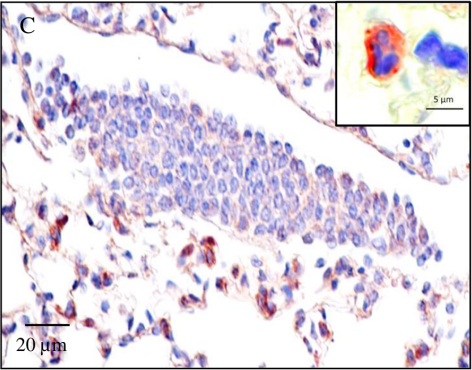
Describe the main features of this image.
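Lung parenchyma with an elongated, compact cluster of closely packed cells bearing round to oval blue nuclei, free of brown stain. Thin alveolar walls around the cluster hold scattered cells with brown cytoplasm.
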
